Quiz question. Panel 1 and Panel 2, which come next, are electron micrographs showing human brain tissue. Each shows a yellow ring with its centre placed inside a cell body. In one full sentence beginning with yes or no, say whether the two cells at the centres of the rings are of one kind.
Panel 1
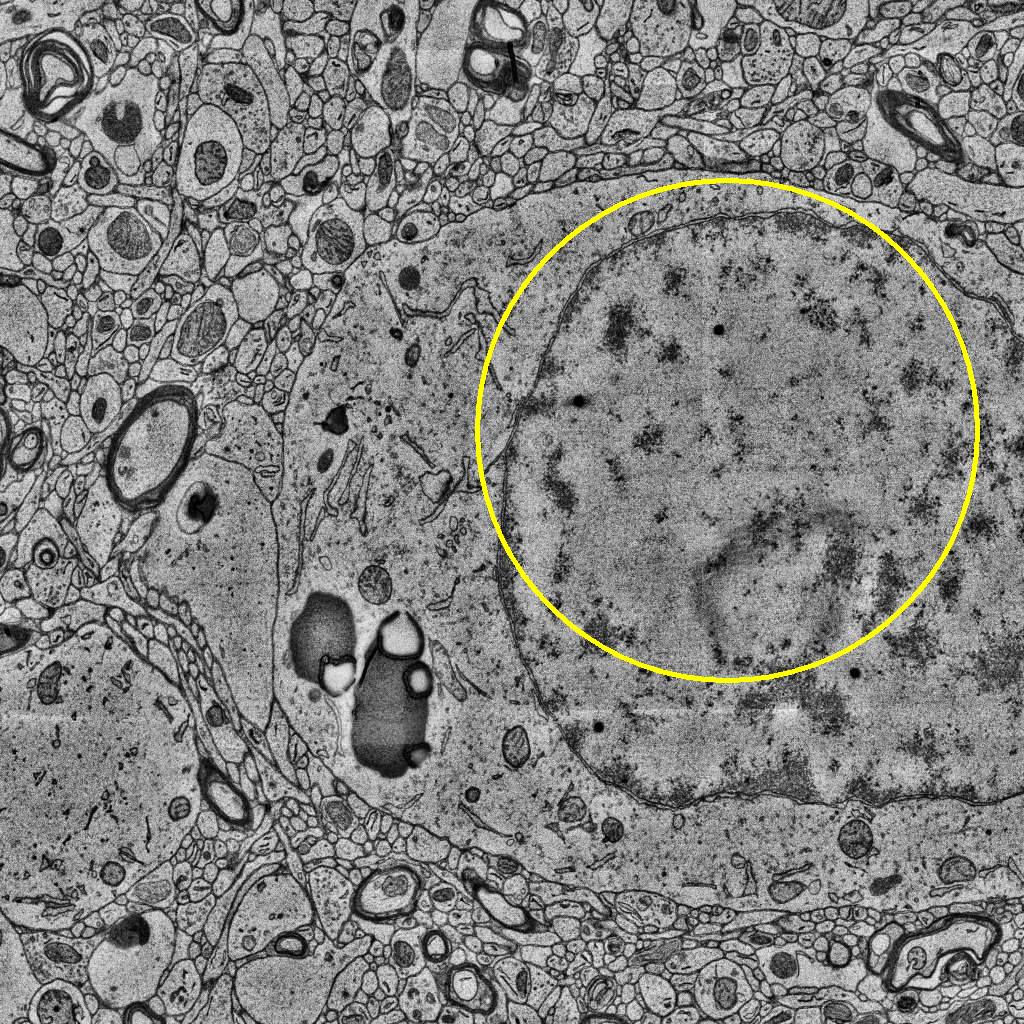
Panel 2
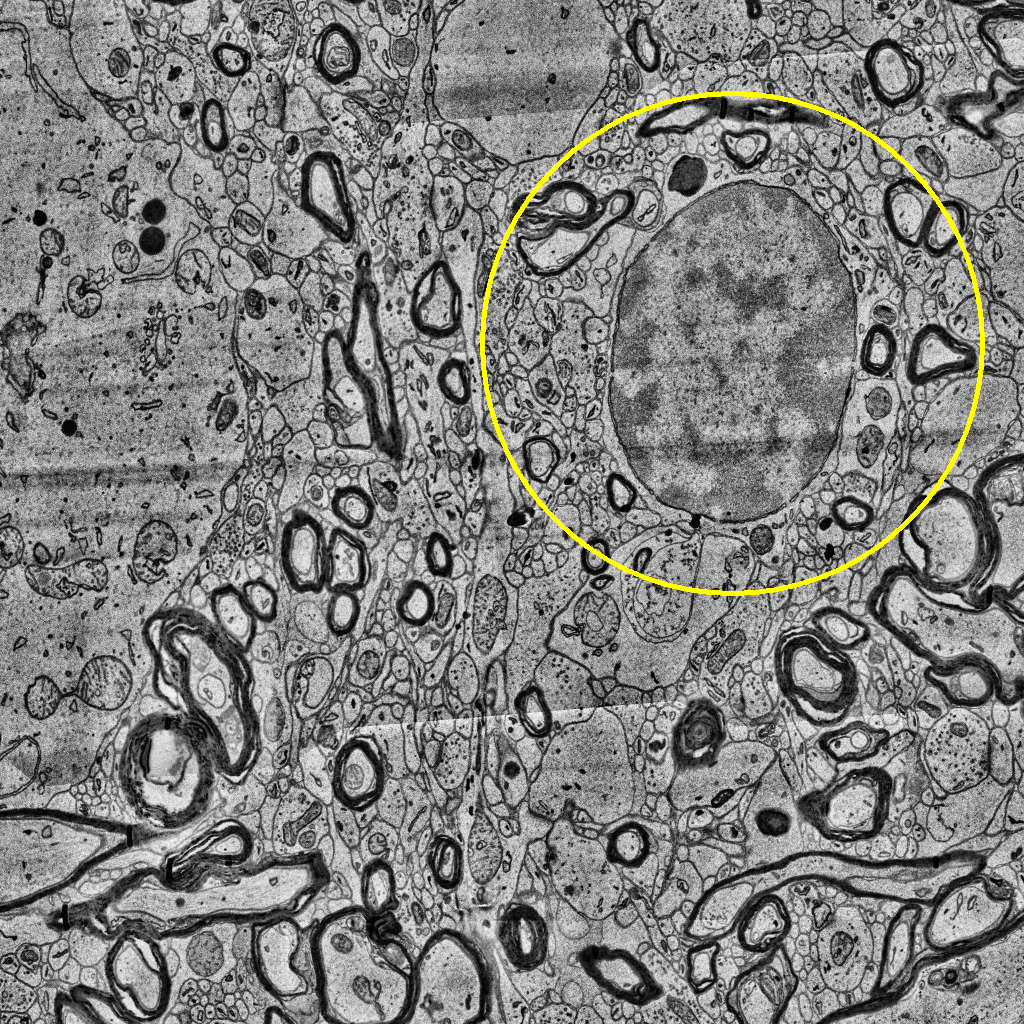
No, Panel 1 and Panel 2 show two kinds of cell at the centre of the ring.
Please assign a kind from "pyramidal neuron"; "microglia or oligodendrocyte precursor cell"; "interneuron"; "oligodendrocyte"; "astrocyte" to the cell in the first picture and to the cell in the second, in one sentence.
The first is an interneuron and the second is a microglial cell or oligodendrocyte precursor cell.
